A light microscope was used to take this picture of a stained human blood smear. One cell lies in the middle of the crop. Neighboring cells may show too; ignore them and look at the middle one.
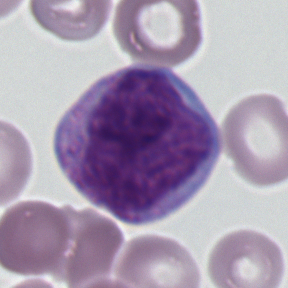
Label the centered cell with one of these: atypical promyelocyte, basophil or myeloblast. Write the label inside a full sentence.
The cell in the middle of the field of view is an atypical promyelocyte.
